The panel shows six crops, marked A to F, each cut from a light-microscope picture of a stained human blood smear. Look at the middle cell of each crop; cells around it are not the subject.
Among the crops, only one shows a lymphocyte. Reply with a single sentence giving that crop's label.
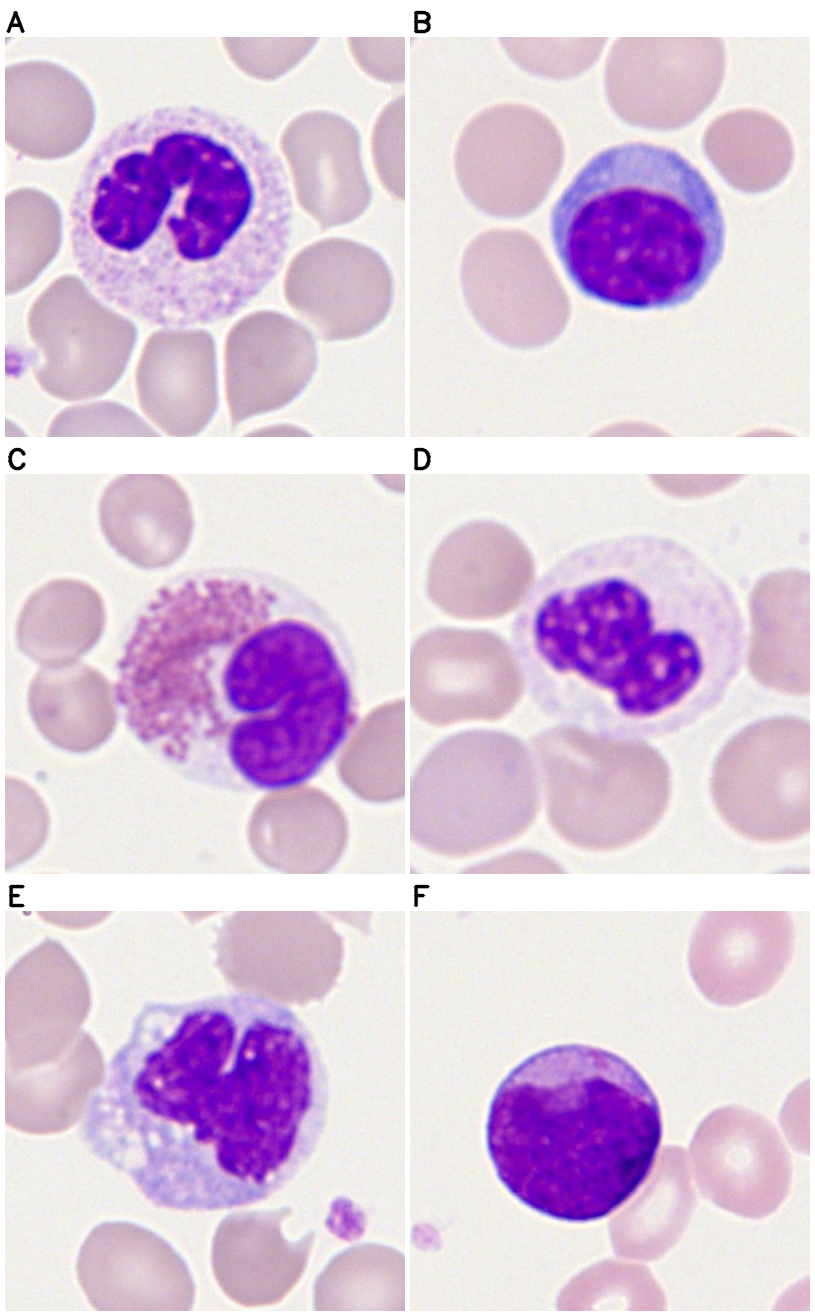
The crop marked B is the one in which a lymphocyte is shown.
